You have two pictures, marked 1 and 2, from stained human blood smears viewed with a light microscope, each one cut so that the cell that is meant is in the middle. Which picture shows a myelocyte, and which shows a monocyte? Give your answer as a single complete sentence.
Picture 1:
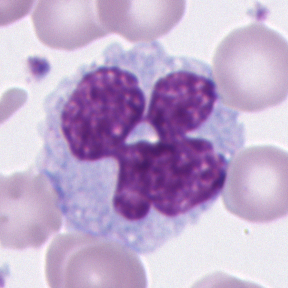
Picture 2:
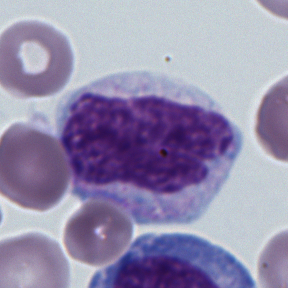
It is picture 1 that shows a monocyte, and picture 2 that shows a myelocyte.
